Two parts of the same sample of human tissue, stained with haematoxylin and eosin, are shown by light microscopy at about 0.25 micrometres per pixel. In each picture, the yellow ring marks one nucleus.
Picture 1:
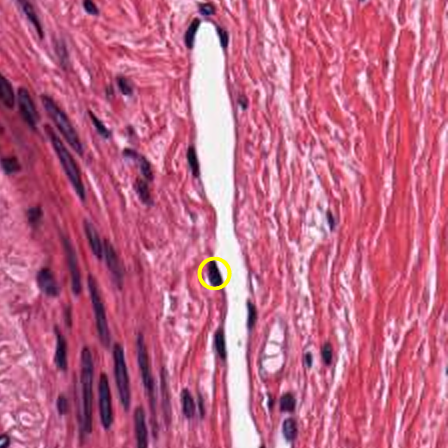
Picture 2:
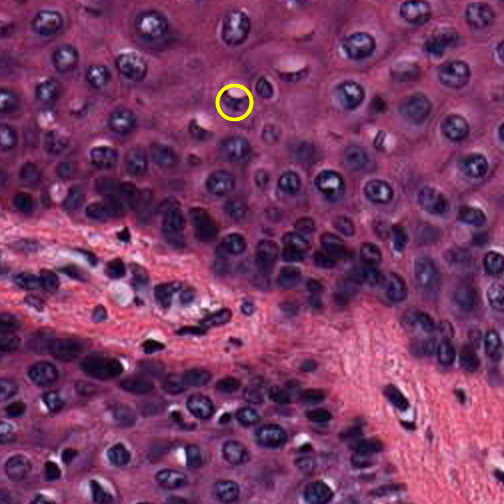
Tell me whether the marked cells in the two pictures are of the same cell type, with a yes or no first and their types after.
No, the first is an endothelial cell and the second a squamous epithelial cell.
